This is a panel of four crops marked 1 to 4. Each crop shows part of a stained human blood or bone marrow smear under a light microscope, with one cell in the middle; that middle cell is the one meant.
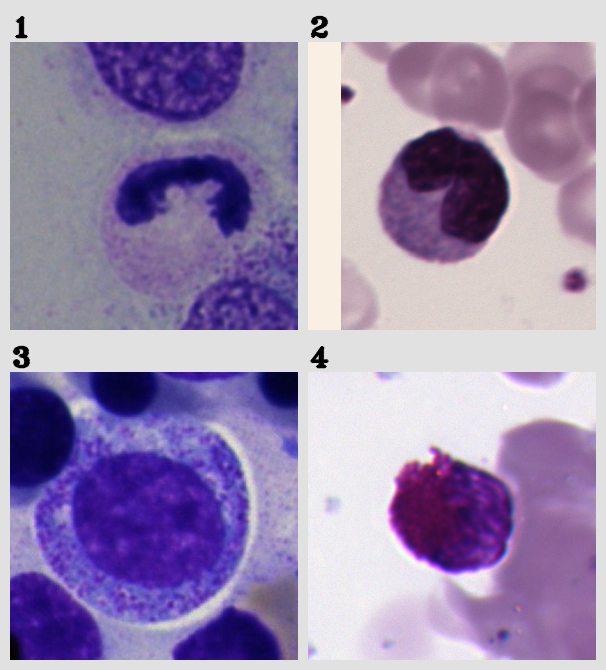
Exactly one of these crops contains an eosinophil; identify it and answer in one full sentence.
The requested cell, an eosinophil, is the one in crop 4.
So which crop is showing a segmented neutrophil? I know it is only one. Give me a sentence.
Of the cells presented, the one in crop 1 is a segmented neutrophil.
